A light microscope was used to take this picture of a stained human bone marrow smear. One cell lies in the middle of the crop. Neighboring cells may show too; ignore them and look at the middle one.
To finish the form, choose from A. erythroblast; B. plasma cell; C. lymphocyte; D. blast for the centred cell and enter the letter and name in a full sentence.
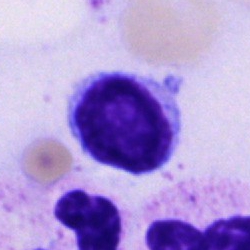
For this crop, option C is right, the centered cell being a lymphocyte.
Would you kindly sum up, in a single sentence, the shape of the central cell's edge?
Along the periphery, ragged stretches or projections make the outline irregular.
